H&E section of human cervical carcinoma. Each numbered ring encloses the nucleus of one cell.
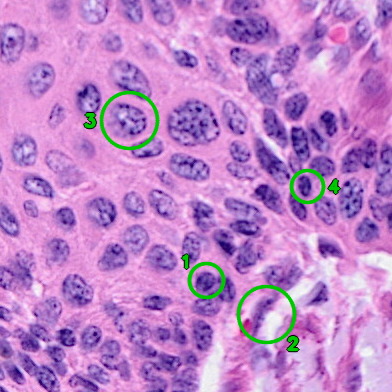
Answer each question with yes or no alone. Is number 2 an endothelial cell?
yes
